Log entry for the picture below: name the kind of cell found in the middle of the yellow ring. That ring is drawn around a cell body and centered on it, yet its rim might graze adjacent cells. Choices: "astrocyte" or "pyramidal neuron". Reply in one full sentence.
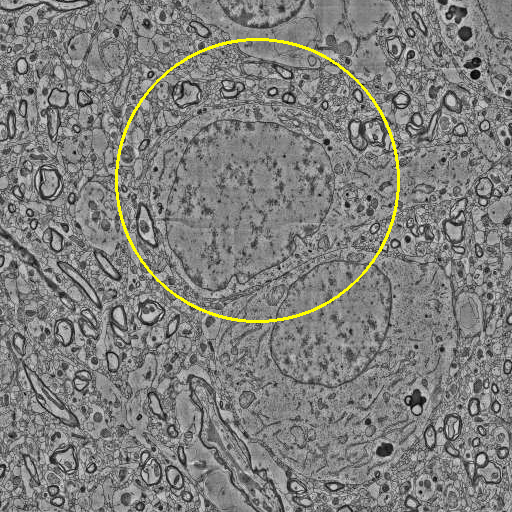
The cell in the middle of the yellow ring in this picture is a pyramidal neuron.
